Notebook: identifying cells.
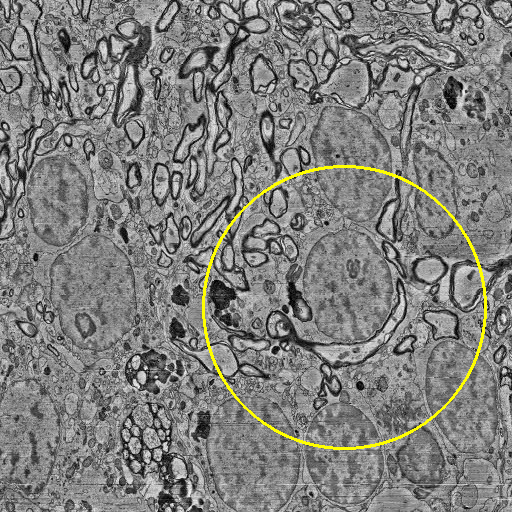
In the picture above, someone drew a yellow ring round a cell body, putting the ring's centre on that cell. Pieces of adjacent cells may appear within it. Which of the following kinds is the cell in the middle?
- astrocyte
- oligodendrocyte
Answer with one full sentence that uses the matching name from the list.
In this picture, the yellow ring is centred on the body of an oligodendrocyte.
